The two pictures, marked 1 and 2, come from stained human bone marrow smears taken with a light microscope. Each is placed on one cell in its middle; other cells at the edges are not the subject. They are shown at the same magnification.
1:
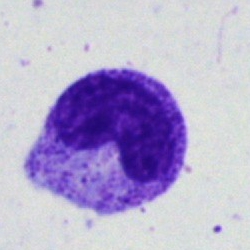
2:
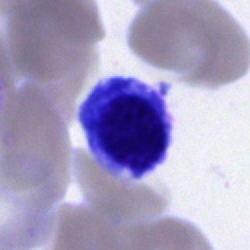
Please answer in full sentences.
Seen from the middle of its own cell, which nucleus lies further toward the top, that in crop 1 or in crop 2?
In crop 1 the nucleus is shifted more toward the top.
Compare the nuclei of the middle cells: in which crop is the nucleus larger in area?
It is the nucleus in crop 1, about 2.5 times as large in area as the one in crop 2.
